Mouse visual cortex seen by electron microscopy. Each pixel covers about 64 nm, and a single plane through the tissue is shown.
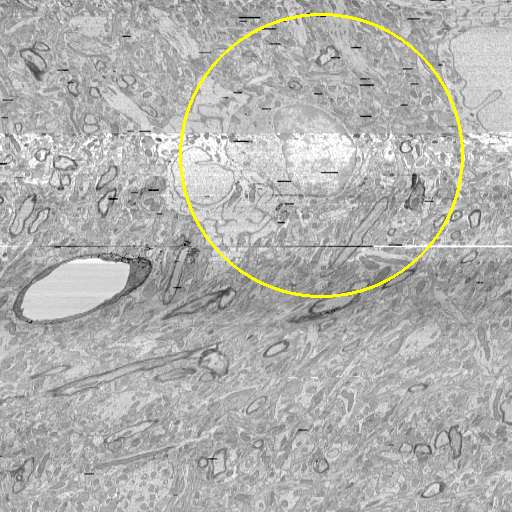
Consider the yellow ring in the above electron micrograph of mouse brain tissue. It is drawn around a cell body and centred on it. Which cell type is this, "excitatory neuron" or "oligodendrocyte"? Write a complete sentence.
The cell in question is an oligodendrocyte.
